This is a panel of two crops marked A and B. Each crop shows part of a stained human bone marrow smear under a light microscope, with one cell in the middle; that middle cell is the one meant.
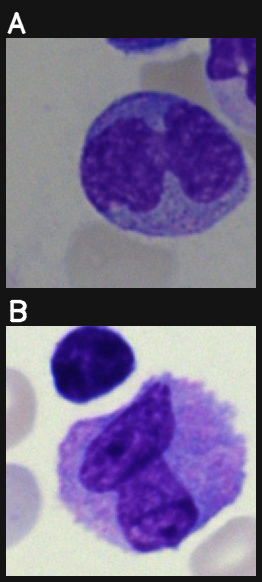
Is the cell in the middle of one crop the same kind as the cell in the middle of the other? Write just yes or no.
yes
